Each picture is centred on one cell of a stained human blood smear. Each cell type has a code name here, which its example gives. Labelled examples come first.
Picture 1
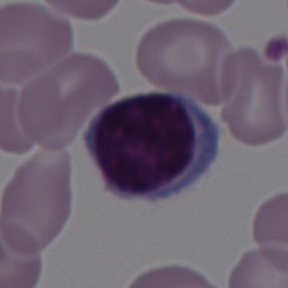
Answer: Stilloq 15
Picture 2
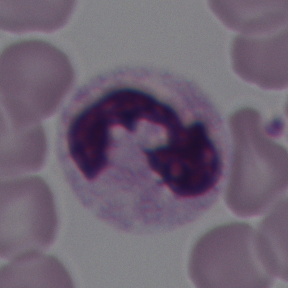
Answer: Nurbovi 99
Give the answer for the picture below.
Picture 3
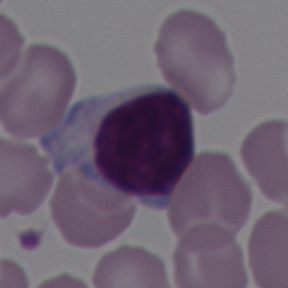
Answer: Stilloq 15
